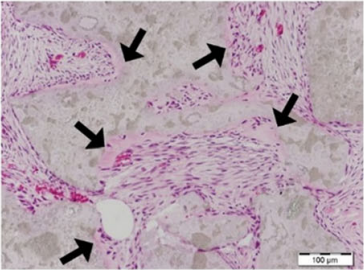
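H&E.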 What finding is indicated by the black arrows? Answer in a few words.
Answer: Bone formation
